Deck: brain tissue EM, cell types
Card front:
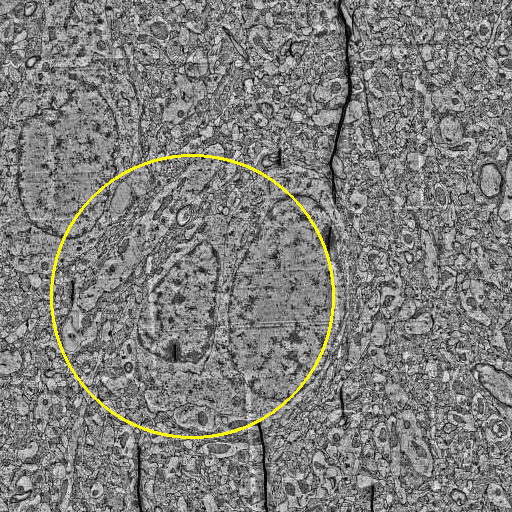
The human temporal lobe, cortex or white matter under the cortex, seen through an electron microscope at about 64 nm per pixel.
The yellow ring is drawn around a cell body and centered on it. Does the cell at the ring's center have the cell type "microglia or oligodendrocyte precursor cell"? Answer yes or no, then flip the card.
yes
